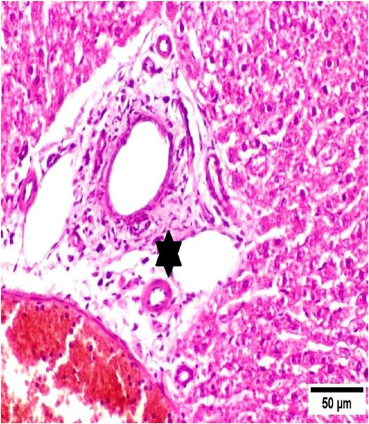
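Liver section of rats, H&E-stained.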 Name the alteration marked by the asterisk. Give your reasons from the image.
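The asterisk lies in loose, pale, widened connective tissue. Cells and fibres are spread apart around the vessels.
Edema.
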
